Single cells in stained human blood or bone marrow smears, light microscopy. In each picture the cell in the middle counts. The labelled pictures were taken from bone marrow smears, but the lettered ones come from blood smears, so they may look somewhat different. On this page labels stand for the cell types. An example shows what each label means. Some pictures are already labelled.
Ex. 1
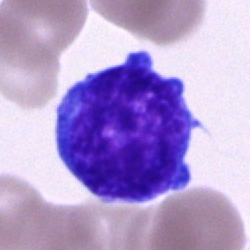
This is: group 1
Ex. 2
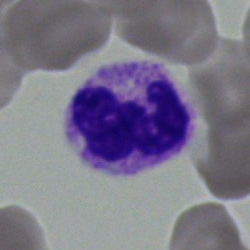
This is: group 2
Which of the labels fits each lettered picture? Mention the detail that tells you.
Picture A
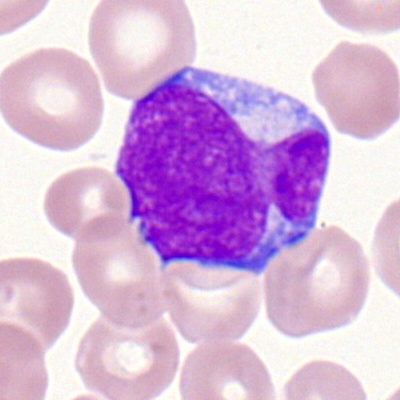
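Answer: group 1. The nucleus fills most of the cell.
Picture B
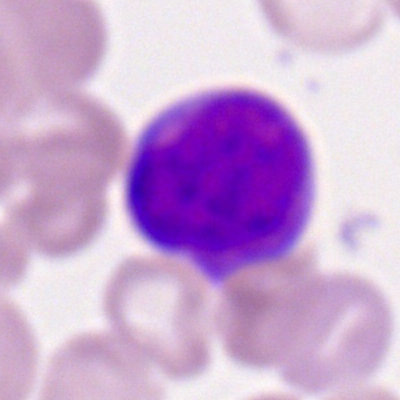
Answer: group 1. The cytoplasm is deep blue.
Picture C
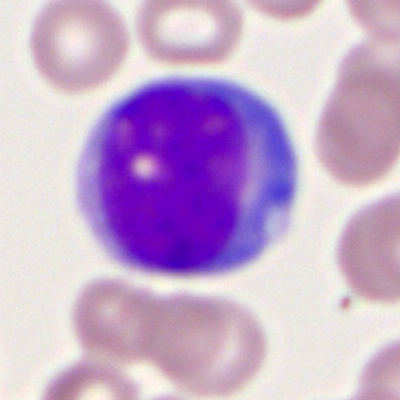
Answer: group 1. The nucleus fills most of the cell.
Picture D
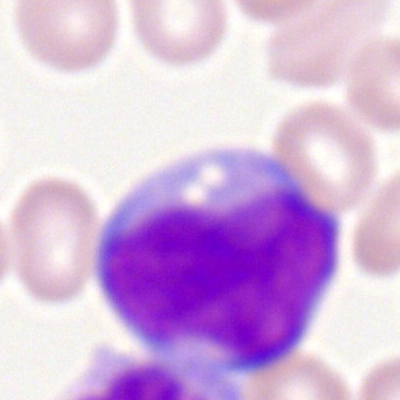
Answer: group 1. The nucleus fills most of the cell.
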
